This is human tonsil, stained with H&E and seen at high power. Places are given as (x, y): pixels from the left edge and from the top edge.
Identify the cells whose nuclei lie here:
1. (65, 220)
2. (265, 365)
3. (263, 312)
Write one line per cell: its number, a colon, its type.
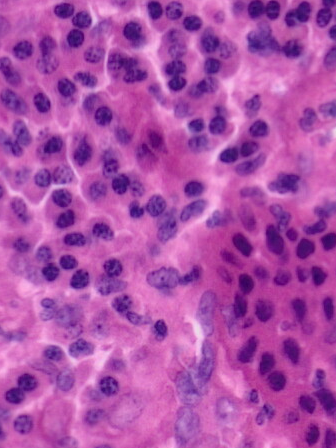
1: plasma cell
2: squamous epithelial cell
3: squamous epithelial cell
